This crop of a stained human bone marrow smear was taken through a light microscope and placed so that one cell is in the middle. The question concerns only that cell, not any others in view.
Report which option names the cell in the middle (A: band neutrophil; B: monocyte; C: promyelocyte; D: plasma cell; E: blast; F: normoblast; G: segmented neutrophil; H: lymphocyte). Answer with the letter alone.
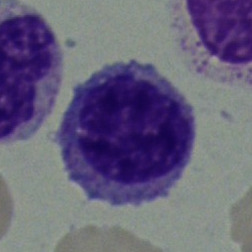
B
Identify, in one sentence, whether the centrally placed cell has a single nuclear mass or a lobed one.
Round, oval or kidney-shaped, the nucleus is one compact mass.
